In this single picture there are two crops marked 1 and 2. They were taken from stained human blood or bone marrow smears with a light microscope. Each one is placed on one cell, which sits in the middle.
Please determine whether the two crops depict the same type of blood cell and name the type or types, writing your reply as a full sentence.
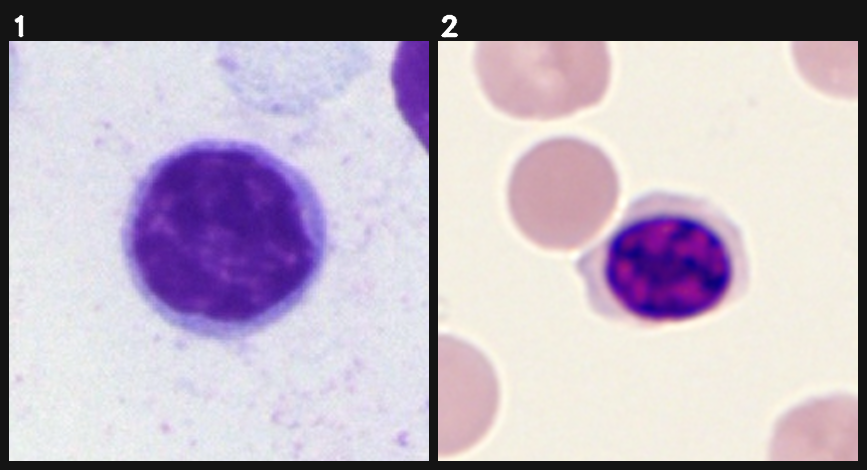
No, the cell centred in crop 2 is an erythroblast; crop 1 centres on a lymphocyte.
